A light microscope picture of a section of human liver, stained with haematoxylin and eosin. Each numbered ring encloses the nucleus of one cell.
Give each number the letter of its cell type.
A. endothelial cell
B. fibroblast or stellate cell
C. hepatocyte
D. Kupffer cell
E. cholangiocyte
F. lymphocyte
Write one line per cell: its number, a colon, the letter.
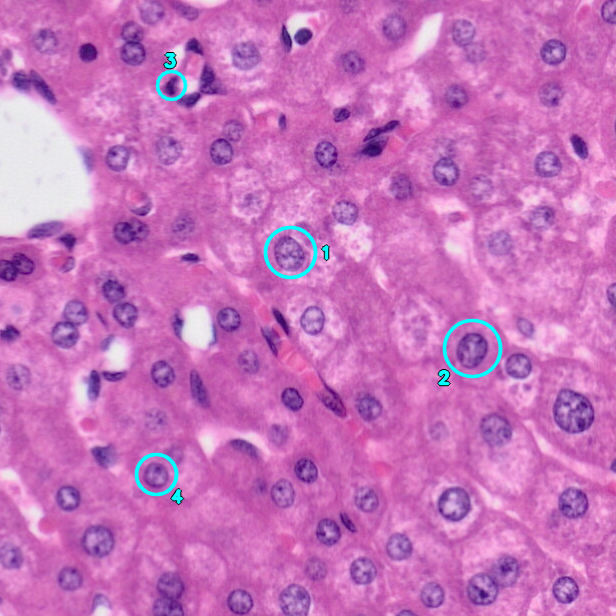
1: C
2: C
3: B
4: C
